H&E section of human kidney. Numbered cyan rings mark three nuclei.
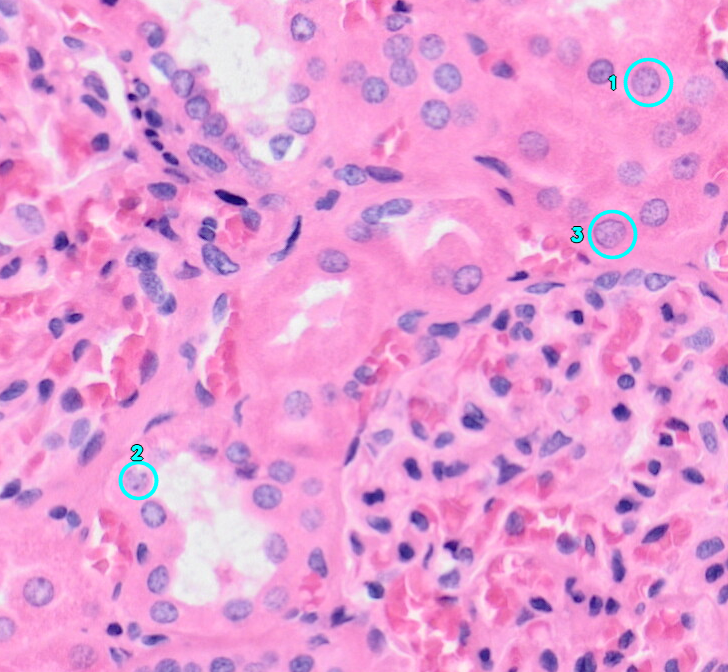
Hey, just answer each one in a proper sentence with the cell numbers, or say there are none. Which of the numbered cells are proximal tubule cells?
The cells that have been numbered 1 and 3 are proximal tubule cells.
